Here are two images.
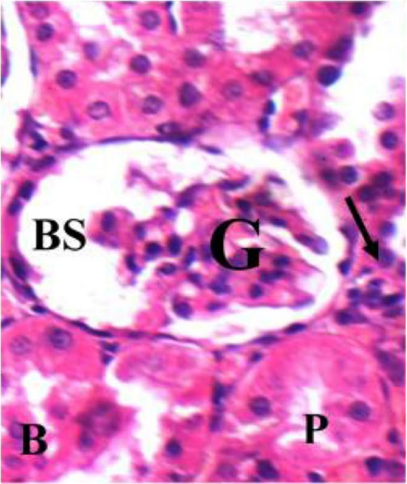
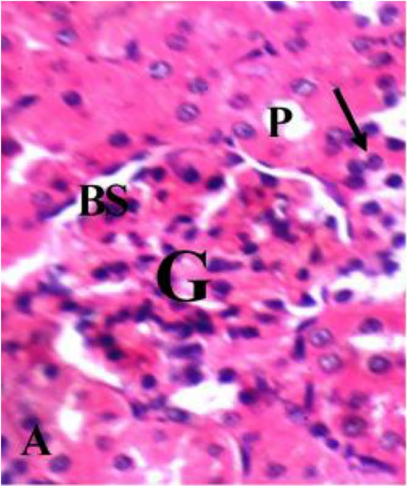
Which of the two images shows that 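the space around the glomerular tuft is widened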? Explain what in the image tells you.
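First image: a broad clear space separates a shrunken glomerular tuft from its capsule. Second image: the glomerular tuft nearly fills its capsule, leaving only a thin clear cleft.
Hence: the first image.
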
